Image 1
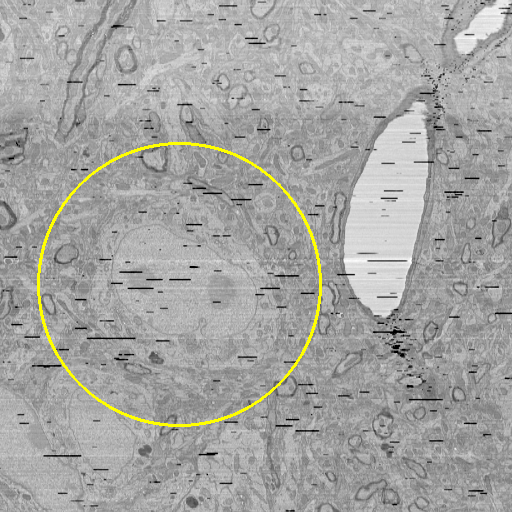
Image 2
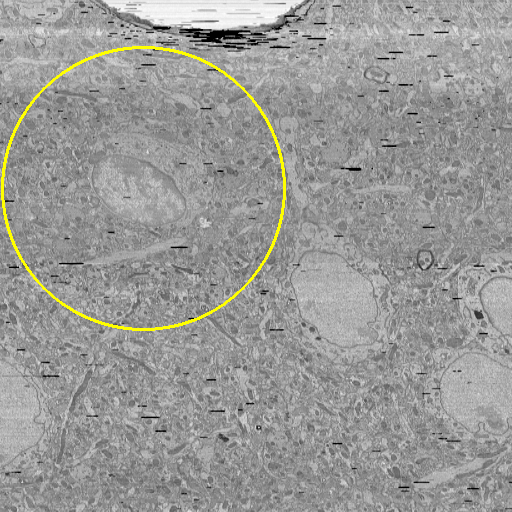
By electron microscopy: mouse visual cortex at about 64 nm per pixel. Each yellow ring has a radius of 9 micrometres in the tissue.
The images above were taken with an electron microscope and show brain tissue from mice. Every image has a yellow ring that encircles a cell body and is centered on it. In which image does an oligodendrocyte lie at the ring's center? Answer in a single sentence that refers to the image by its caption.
In Image 2, the cell at the center of the yellow ring is the correct match.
